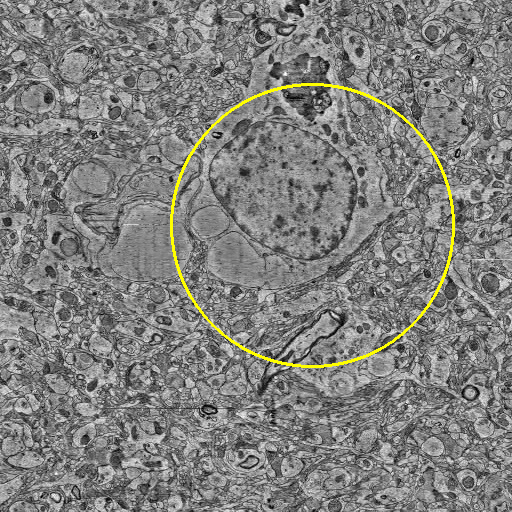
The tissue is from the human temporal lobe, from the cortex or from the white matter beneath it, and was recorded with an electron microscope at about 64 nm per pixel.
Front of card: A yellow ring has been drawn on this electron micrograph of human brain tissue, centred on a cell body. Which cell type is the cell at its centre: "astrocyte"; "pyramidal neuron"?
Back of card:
astrocyte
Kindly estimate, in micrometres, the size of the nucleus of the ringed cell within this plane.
About 10 by 8 micrometers for the nucleus, in this plane.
